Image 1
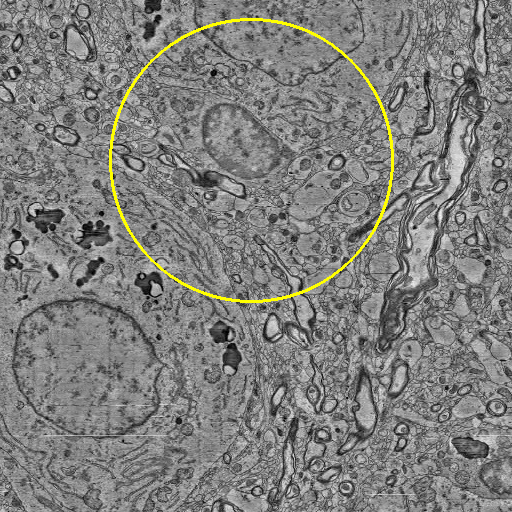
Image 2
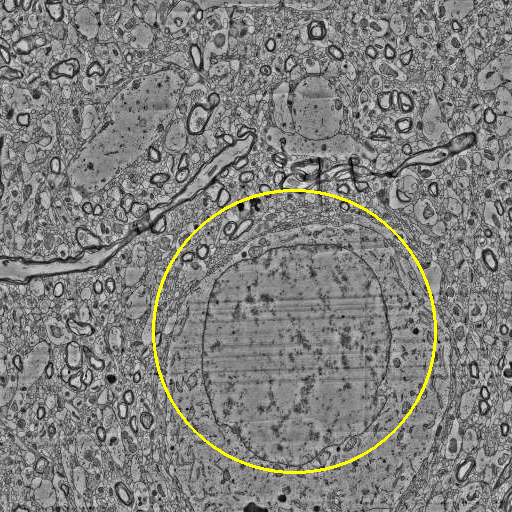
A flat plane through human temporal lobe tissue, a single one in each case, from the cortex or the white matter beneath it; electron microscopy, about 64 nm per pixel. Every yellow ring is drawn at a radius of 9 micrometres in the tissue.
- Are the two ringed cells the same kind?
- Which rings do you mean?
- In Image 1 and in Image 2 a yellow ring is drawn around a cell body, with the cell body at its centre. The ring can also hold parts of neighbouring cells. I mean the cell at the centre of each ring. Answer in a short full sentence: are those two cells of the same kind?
No, the cells are of two kinds.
